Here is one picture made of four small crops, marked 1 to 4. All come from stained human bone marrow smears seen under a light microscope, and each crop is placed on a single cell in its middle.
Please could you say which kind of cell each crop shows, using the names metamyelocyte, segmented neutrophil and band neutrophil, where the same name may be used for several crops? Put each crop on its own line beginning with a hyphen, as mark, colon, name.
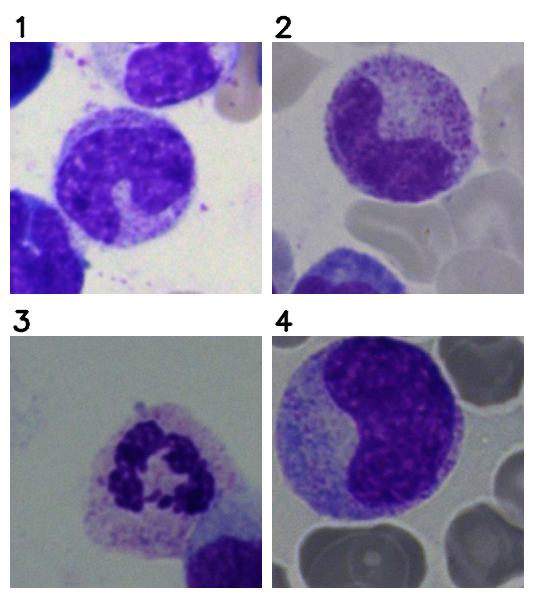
- 1: band neutrophil
- 2: band neutrophil
- 3: segmented neutrophil
- 4: metamyelocyte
